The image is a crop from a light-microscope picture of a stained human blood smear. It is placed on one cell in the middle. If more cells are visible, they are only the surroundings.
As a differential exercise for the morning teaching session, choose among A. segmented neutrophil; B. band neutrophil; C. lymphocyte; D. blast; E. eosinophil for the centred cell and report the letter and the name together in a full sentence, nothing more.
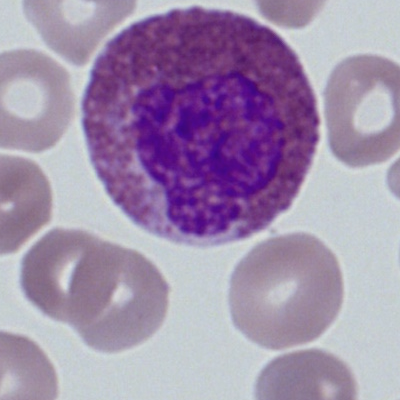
It is an eosinophil that occupies the centre of the crop, so option E is correct.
